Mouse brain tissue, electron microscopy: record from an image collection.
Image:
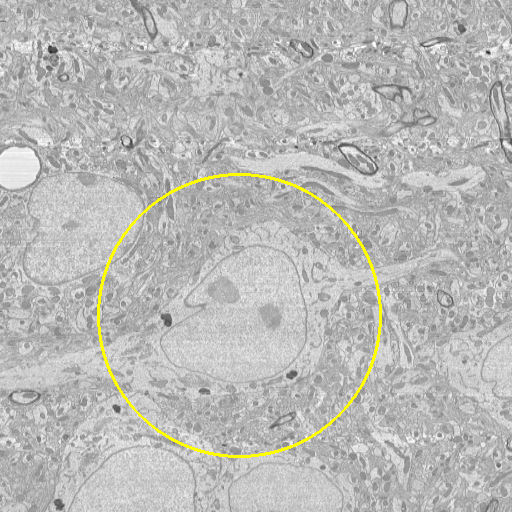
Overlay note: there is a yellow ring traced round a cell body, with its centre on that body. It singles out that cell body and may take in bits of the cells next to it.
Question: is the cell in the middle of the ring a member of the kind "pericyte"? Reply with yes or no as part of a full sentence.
No, the image's ringed cell, the one at the ring's centre, is a member of another kind.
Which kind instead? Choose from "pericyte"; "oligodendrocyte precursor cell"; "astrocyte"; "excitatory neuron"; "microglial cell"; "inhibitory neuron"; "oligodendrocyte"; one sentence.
This picture has an excitatory neuron at the centre of its ring.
